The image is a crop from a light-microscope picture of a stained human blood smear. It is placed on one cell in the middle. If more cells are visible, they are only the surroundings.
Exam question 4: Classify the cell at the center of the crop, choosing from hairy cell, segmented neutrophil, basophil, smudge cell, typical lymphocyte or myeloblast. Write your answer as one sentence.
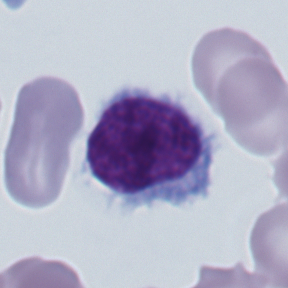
Whatever else lies nearby, the middle cell is a hairy cell.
